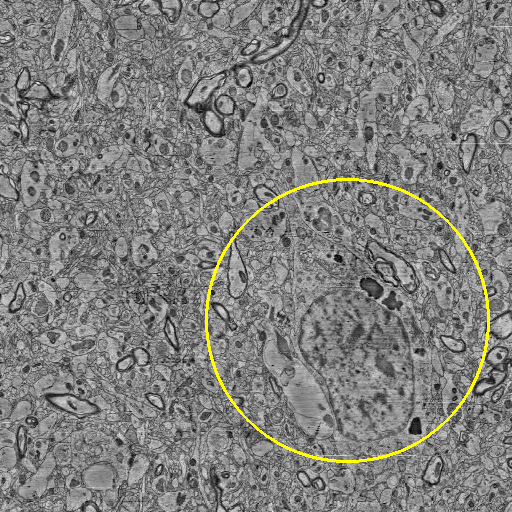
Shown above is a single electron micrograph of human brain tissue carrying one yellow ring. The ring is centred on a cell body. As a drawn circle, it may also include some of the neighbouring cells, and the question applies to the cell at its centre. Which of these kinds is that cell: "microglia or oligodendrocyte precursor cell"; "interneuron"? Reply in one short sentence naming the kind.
The cell marked by the ring is an interneuron.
